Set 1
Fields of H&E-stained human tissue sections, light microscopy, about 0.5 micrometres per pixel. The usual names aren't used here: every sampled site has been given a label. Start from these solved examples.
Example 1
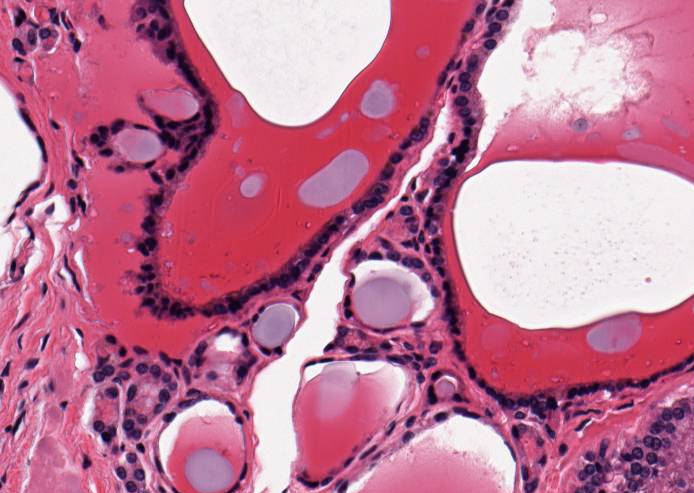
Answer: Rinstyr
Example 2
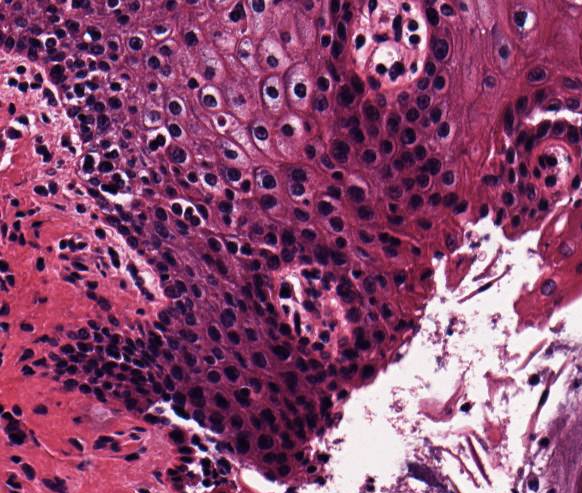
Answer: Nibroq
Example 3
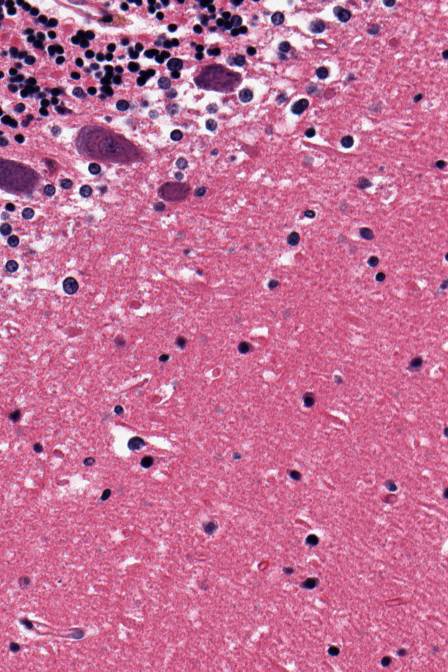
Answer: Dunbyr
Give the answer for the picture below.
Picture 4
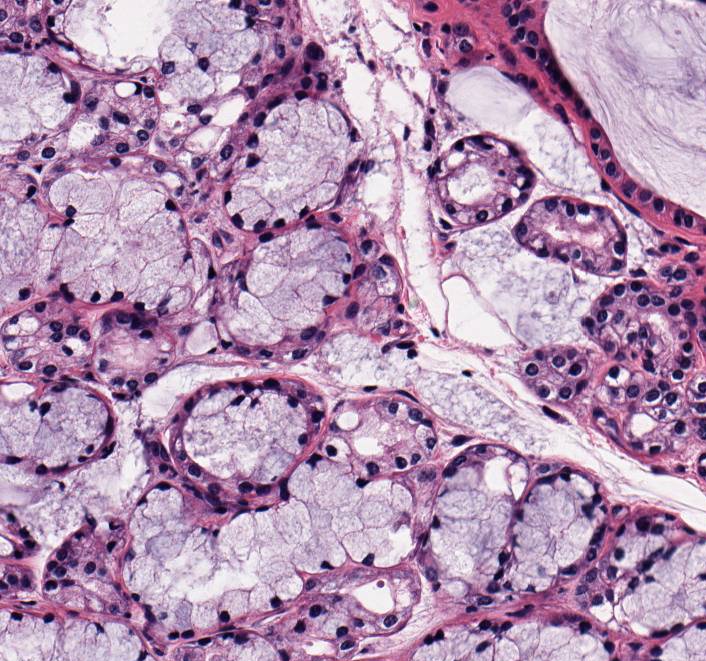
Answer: Nibroq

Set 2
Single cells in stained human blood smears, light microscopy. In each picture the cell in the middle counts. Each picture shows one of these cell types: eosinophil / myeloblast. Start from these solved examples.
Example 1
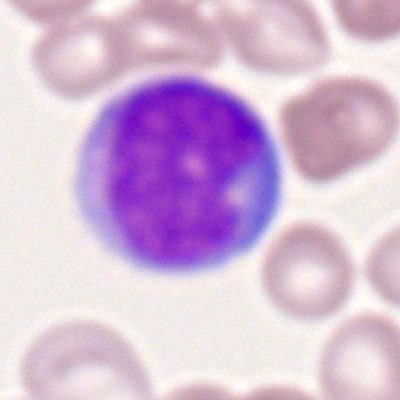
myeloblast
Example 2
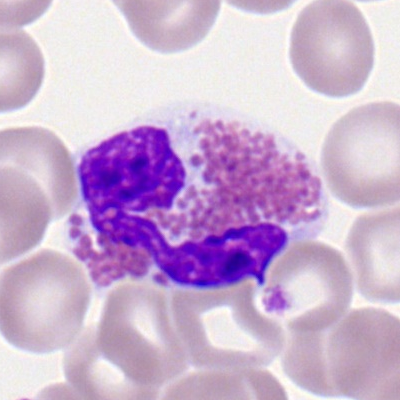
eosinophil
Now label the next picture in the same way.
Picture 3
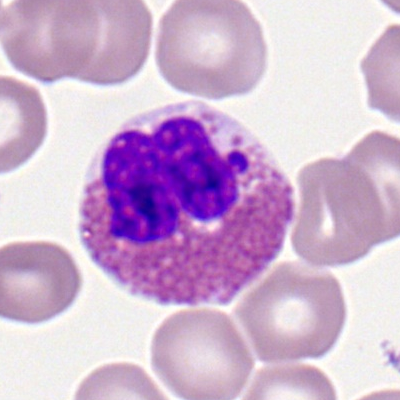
eosinophil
